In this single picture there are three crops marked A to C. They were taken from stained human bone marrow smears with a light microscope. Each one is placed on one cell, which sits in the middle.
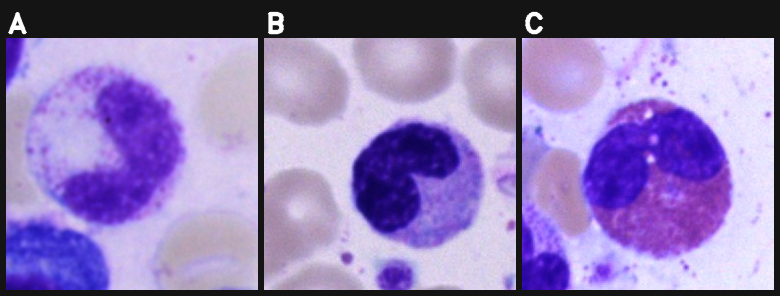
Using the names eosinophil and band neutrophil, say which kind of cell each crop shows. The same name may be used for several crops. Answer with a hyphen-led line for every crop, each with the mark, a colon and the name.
- A: band neutrophil
- B: band neutrophil
- C: eosinophil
